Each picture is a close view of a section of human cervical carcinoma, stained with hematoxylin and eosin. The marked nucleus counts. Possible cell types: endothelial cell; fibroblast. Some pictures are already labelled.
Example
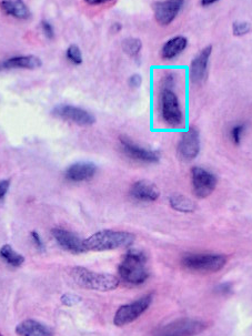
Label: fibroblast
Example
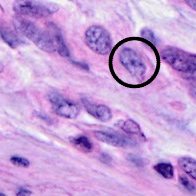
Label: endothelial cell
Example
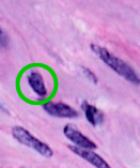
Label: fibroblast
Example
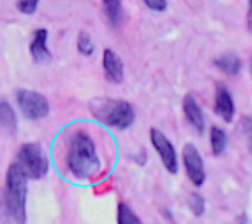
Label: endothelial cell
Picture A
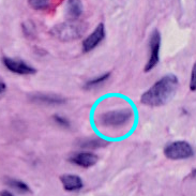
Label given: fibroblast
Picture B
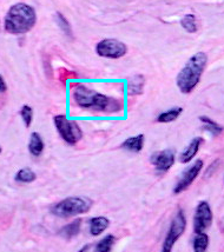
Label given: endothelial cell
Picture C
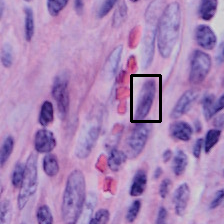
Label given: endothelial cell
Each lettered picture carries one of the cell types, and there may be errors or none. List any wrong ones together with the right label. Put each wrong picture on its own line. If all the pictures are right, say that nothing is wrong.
Nothing to fix; every label fits.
